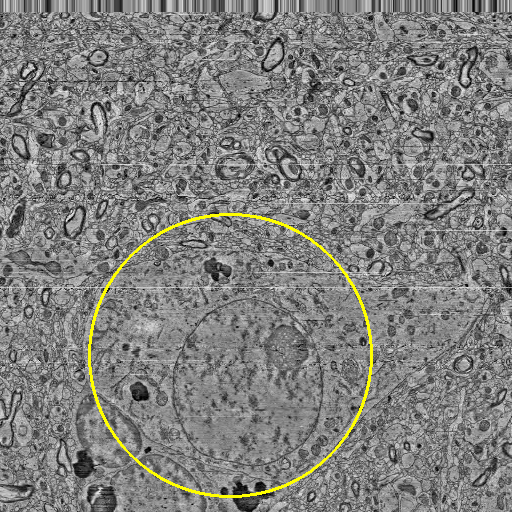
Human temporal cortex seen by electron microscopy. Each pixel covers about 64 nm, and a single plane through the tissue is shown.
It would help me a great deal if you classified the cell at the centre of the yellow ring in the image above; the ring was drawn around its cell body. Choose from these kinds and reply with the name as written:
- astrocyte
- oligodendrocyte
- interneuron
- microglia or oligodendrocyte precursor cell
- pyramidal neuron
pyramidal neuron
